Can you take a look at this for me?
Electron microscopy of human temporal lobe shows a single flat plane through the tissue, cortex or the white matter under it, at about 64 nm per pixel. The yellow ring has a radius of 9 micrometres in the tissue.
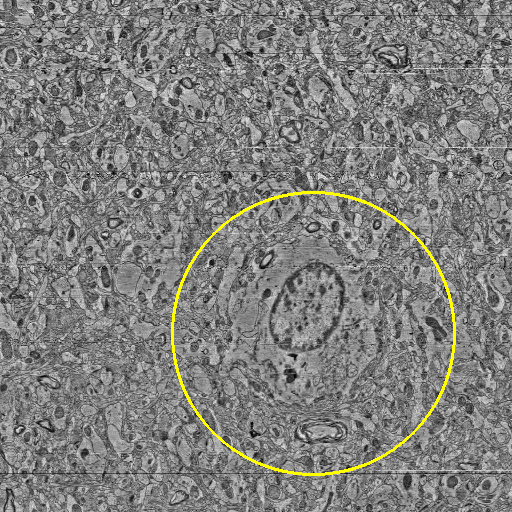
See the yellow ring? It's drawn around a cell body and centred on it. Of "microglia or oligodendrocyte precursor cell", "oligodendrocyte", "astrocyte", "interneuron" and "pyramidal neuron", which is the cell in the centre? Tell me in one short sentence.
The one in the centre is an astrocyte.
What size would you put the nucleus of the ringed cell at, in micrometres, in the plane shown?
The nucleus works out at approximately 6 by 4 micrometres in this plane.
